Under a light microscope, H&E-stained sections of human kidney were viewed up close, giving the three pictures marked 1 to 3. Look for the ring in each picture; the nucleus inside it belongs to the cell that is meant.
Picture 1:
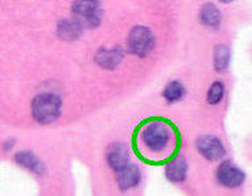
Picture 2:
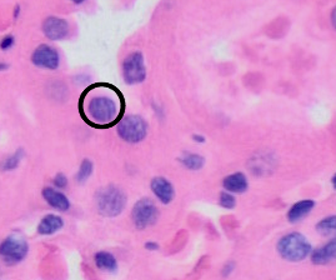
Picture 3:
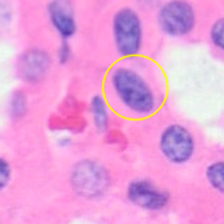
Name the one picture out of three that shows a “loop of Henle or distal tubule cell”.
2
